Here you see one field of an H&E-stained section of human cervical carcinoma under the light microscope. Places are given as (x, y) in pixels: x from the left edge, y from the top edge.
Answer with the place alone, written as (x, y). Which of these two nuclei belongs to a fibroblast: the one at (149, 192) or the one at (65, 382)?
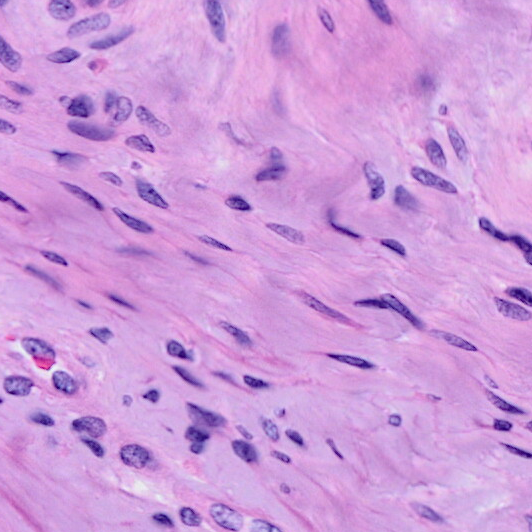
(149, 192)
